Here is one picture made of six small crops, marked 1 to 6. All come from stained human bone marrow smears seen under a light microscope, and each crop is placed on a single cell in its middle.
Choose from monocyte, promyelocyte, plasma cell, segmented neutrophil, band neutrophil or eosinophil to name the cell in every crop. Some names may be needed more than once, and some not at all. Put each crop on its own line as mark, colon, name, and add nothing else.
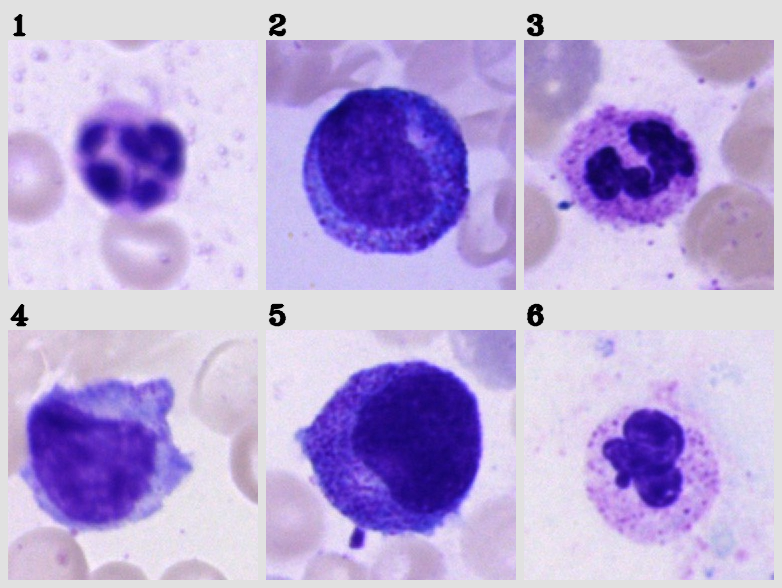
1: segmented neutrophil
2: promyelocyte
3: segmented neutrophil
4: promyelocyte
5: promyelocyte
6: segmented neutrophil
